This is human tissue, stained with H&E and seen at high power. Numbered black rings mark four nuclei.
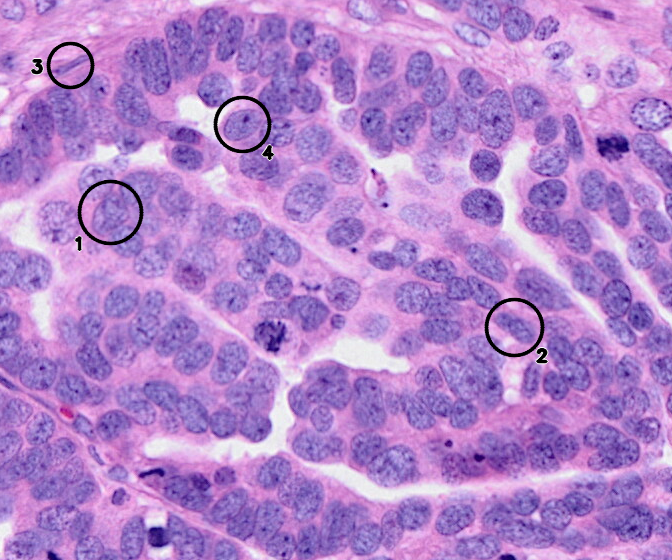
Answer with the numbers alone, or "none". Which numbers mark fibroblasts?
3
